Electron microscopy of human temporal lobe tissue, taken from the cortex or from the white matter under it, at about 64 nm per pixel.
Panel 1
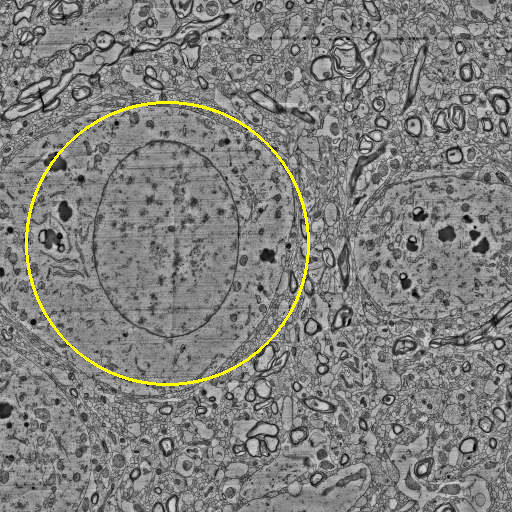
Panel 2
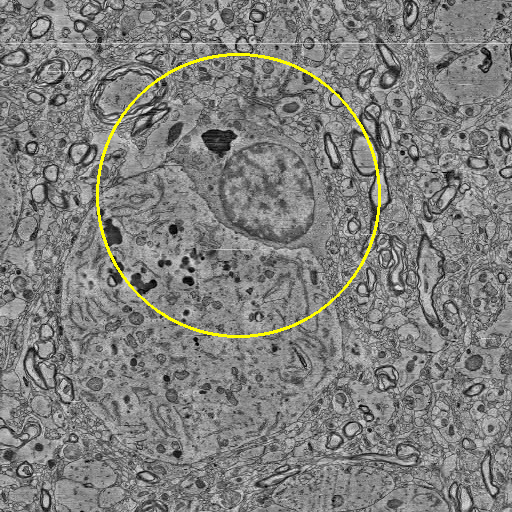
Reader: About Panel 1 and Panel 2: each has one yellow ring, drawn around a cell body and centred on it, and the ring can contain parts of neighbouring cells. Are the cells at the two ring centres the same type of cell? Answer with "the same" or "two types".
two types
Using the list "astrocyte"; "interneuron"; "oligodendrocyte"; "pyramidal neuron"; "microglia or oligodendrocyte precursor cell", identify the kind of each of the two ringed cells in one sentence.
The first is a pyramidal neuron and the second is an oligodendrocyte.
